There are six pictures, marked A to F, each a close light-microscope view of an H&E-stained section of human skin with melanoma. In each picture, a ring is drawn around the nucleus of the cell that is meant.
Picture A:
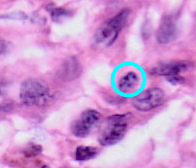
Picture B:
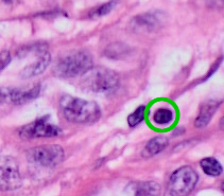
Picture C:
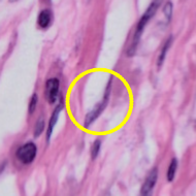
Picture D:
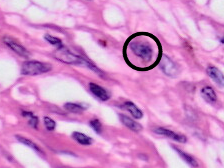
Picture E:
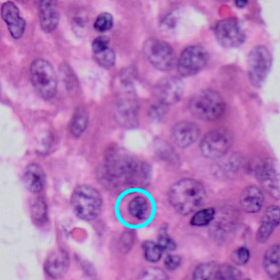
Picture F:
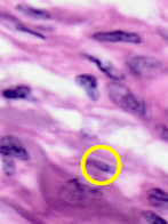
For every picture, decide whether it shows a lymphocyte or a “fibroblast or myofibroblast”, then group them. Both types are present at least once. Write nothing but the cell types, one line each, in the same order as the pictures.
lymphocyte
lymphocyte
fibroblast or myofibroblast
lymphocyte
lymphocyte
fibroblast or myofibroblast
